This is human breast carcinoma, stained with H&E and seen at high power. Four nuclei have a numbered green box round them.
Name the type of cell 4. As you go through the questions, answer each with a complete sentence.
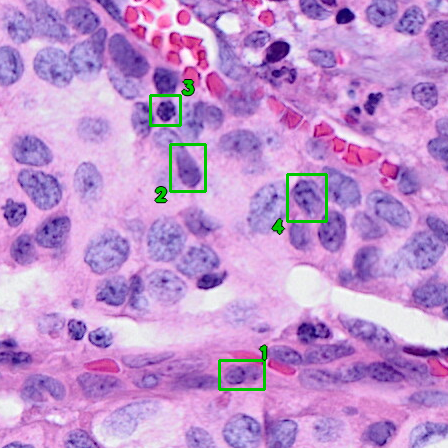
The cell numbered 4 represents a carcinoma cell.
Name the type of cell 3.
Here, the cell given the number 3 is a lymphocyte.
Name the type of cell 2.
Number 2 is placed on a carcinoma cell here.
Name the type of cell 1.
The label 1 in this section denotes an endothelial cell.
